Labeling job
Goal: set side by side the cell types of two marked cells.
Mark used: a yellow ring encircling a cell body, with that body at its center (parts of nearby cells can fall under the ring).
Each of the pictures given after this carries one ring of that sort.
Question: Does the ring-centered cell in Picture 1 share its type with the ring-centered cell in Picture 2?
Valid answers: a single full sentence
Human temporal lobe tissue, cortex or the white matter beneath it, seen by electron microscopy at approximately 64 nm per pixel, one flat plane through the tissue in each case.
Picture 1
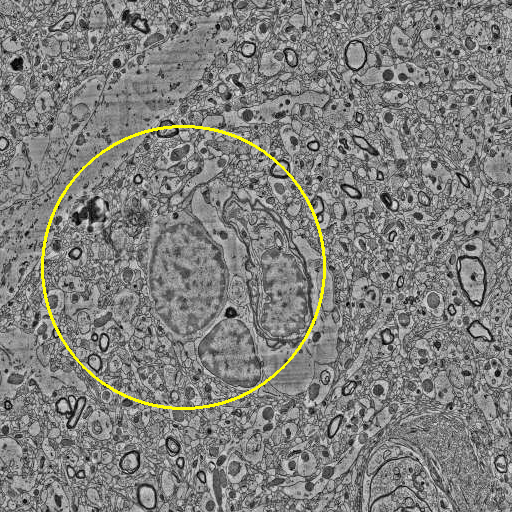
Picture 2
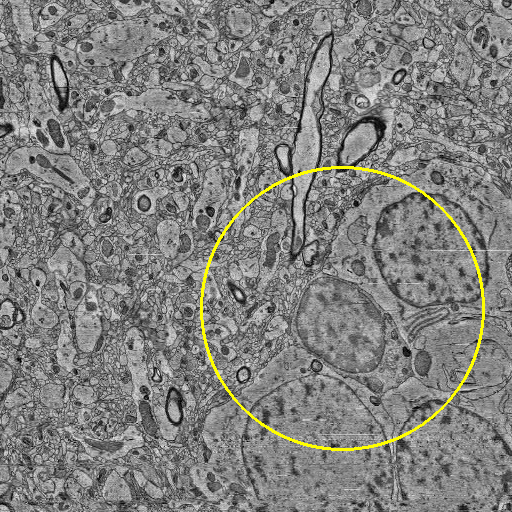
Yes, in Pictures 1 and 2 the cells at the ring centers share one type.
